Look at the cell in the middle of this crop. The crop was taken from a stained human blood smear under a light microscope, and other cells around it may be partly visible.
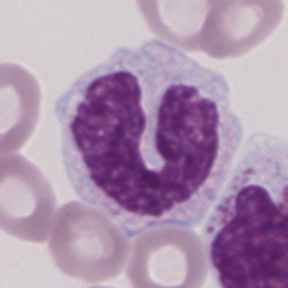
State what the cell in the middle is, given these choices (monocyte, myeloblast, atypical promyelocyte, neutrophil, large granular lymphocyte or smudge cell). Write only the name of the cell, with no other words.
monocyte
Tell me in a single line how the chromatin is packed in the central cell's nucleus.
In this nucleus, the chromatin is arranged in coarse clumps.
